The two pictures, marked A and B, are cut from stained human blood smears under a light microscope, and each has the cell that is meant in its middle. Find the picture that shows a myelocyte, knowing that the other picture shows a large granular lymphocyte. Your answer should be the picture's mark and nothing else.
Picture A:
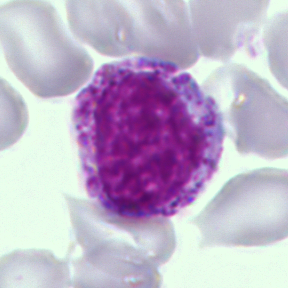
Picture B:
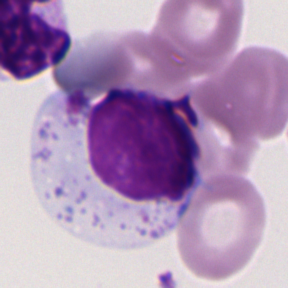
A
